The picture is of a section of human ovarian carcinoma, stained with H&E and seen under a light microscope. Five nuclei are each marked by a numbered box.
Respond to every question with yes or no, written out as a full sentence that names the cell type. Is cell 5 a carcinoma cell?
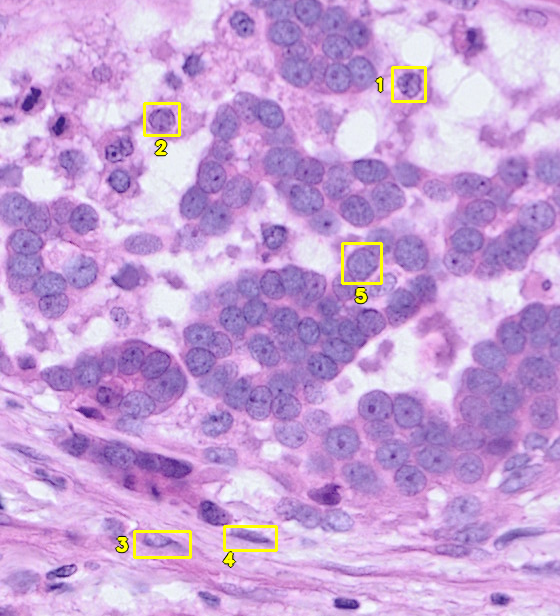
Yes, of the numbered cells, number 5 is a carcinoma cell.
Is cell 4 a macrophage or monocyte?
No, cell 4 does not count as a macrophage or monocyte; it is a fibroblast.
